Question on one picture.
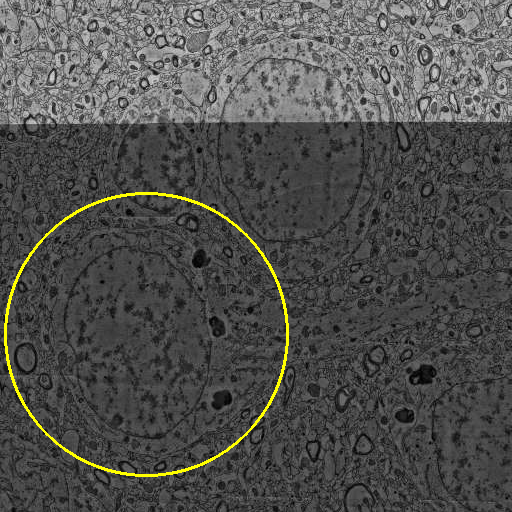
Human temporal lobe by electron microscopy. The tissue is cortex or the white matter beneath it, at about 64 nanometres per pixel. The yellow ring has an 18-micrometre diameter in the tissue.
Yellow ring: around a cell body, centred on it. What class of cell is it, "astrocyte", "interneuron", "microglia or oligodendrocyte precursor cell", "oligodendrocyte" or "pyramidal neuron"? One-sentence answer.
This is a pyramidal neuron, the cell the ring is centred on.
